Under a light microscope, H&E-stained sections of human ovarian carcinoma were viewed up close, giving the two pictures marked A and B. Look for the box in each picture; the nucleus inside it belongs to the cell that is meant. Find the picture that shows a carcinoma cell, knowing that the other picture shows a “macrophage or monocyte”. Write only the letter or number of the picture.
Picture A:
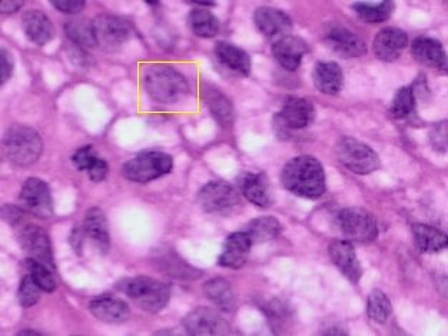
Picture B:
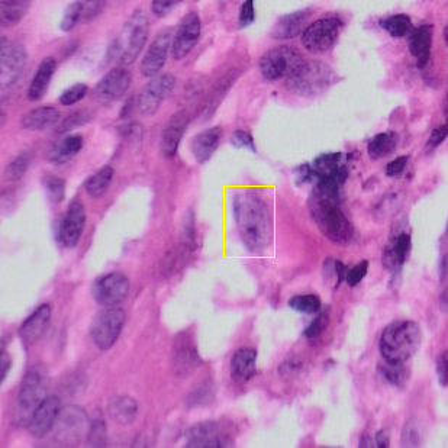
A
